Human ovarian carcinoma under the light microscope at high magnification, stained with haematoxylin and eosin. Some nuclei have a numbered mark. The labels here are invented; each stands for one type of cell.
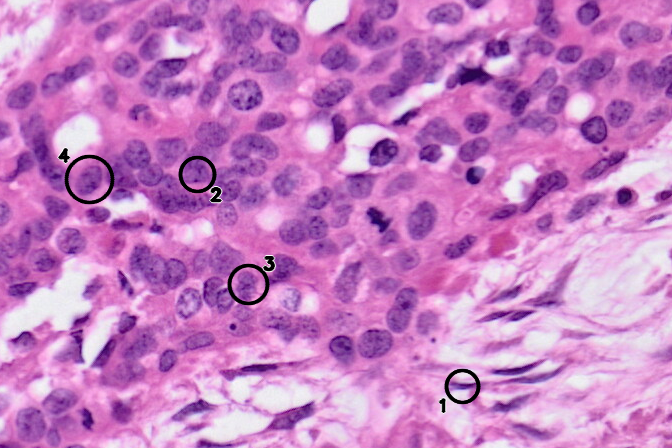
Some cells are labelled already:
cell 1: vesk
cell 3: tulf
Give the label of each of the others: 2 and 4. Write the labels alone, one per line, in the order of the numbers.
tulf
tulf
